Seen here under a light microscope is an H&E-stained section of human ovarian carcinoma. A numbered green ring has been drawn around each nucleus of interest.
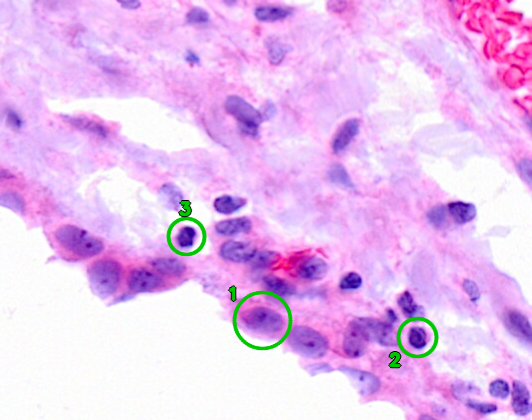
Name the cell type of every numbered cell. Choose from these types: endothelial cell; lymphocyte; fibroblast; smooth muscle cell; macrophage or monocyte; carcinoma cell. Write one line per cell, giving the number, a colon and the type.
1: carcinoma cell
2: lymphocyte
3: lymphocyte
